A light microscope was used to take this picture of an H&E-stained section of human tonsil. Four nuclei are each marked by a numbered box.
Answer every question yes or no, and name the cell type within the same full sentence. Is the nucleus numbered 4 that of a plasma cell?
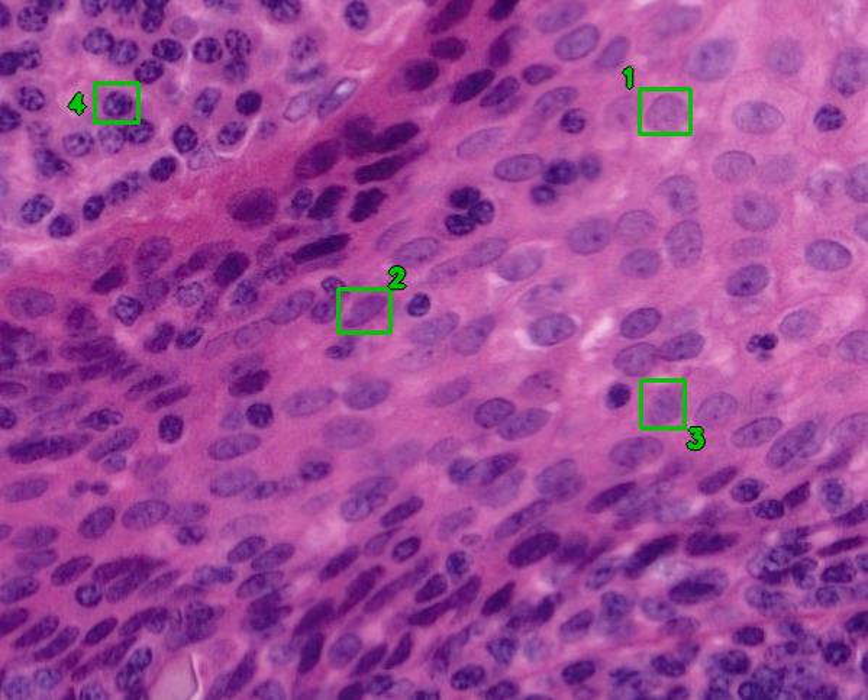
Yes, the cell marked by the number 4 is a plasma cell.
